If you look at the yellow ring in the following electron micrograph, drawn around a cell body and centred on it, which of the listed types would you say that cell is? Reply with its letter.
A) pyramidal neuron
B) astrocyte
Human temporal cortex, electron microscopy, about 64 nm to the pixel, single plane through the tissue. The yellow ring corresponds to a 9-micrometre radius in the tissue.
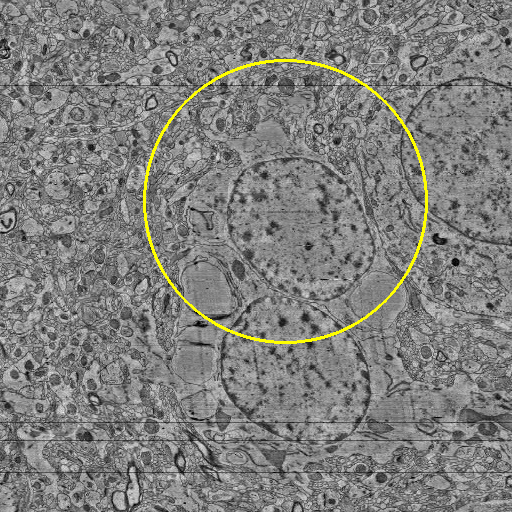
B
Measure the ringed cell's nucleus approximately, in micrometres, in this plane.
Roughly 10 by 8 micrometres is the size of the nucleus in this plane.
